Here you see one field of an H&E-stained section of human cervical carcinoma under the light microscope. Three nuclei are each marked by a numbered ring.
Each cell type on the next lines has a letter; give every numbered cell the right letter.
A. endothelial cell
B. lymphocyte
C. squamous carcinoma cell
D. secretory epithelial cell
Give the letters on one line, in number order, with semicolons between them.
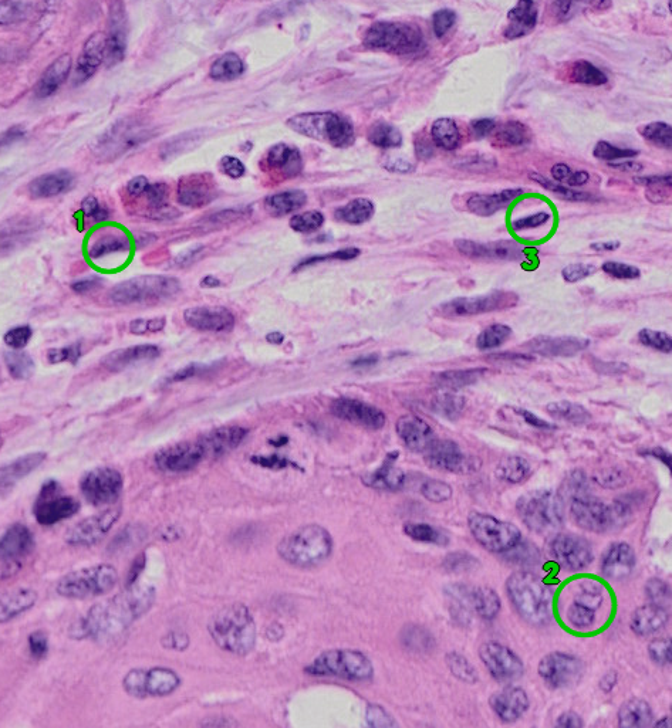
A; C; B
